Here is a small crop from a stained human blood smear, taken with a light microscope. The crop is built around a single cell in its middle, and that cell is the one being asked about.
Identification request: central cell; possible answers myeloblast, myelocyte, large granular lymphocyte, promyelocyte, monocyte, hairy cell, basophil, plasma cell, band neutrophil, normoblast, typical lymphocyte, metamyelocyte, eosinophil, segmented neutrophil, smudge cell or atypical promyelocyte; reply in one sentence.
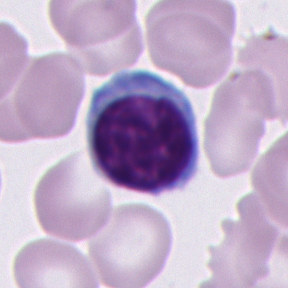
The cell positioned in the middle of the field is a typical lymphocyte.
